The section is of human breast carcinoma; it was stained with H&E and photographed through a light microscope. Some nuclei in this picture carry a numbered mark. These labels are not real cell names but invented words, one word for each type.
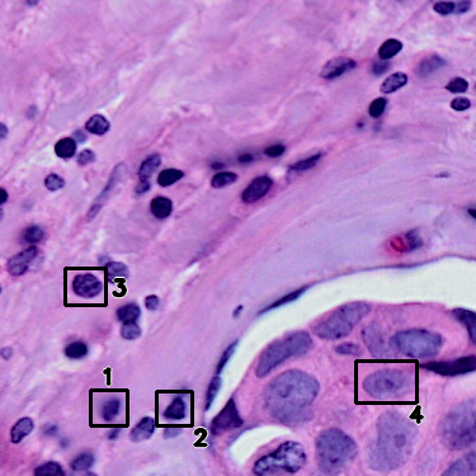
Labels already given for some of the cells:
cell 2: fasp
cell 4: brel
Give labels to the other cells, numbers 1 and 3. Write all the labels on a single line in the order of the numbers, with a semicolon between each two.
fasp; fasp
